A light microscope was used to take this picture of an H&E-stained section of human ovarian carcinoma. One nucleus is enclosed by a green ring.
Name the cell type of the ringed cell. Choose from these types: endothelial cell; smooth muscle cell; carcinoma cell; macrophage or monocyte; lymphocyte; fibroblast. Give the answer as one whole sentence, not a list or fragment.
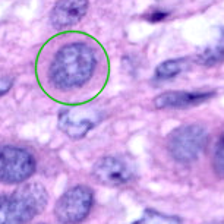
Among the cells in this section, the ringed cell is a carcinoma cell.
